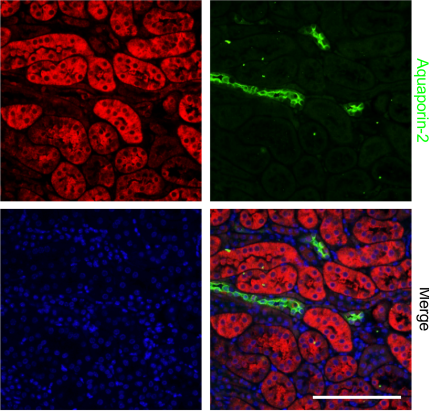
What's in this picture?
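This is kidney tissue in which most of the field is made up of proximal tubules, seen as large round and oval cross-sections whose epithelial cells are filled with red. The nuclei of these cells show as dark round spots within the red cytoplasm, lining each tubule around a small central lumen. Between them run a few much narrower tubules outlined in green, which are collecting ducts. Their green lining does not overlap the red tubules, so the two kinds of tubule stand clearly apart.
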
